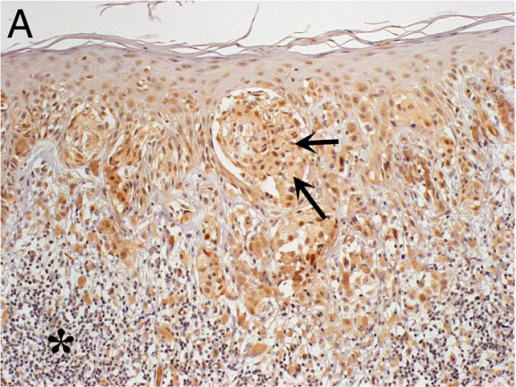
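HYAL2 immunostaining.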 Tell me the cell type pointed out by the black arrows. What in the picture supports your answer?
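The arrows point to cells within a rounded nest beneath the epidermis. These cells are large with ample brown-stained cytoplasm and round nuclei.
Tumor cells.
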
